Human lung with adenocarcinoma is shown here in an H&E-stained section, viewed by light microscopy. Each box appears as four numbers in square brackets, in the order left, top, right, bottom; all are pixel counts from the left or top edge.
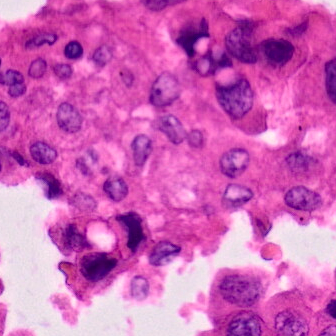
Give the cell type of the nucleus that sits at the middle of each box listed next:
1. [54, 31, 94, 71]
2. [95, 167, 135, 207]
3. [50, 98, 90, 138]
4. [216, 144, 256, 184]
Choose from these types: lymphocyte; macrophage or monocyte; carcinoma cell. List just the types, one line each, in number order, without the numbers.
lymphocyte
macrophage or monocyte
macrophage or monocyte
macrophage or monocyte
